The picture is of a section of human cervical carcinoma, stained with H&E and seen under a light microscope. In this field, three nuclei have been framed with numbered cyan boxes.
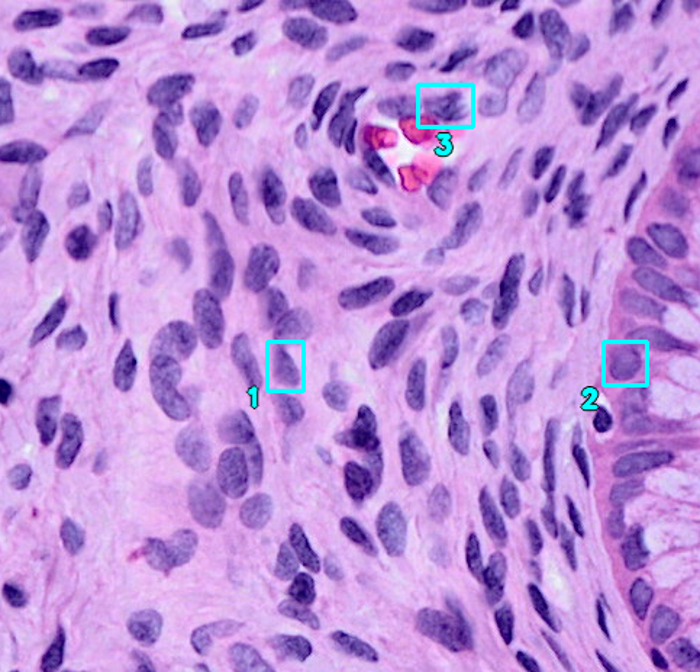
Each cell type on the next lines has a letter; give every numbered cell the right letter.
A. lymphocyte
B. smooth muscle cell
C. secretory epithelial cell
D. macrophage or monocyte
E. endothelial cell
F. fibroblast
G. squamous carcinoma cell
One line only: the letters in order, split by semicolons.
F; C; E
